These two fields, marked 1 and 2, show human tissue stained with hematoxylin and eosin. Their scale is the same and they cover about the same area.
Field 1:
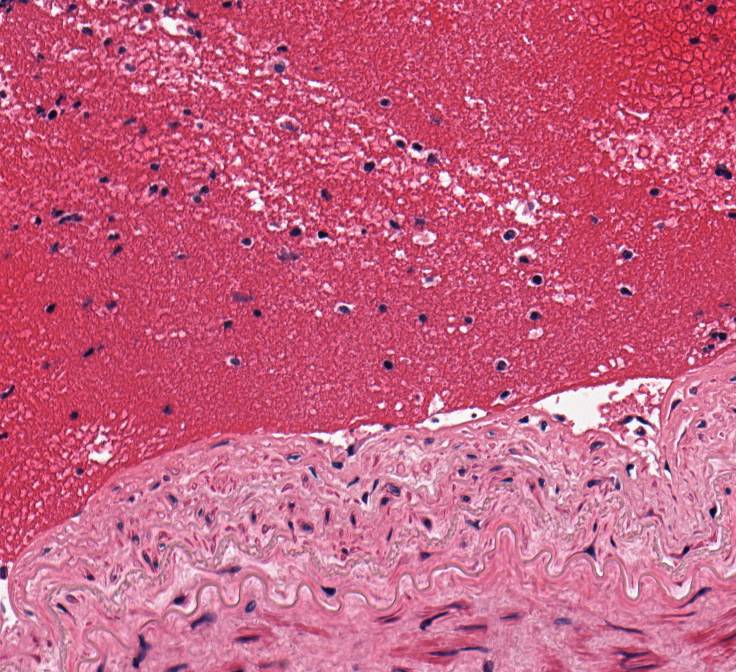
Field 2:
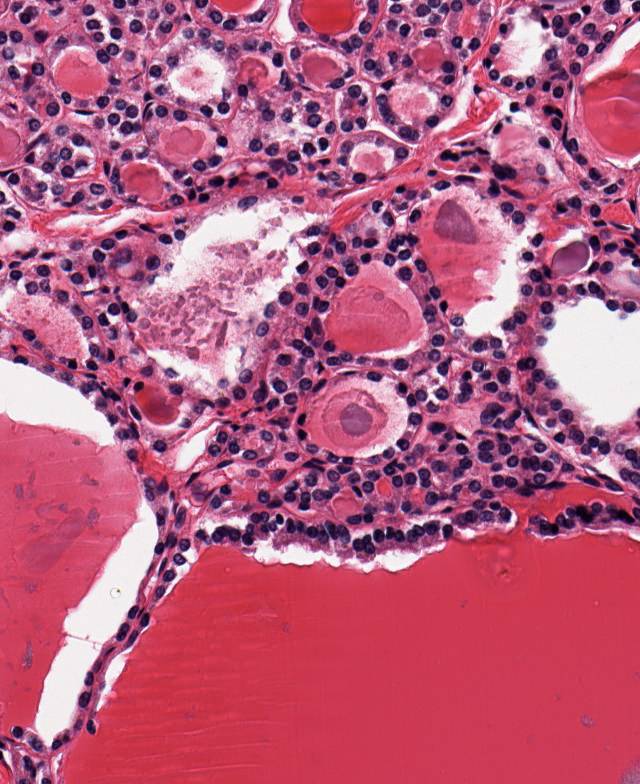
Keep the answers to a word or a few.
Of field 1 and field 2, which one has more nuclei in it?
2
